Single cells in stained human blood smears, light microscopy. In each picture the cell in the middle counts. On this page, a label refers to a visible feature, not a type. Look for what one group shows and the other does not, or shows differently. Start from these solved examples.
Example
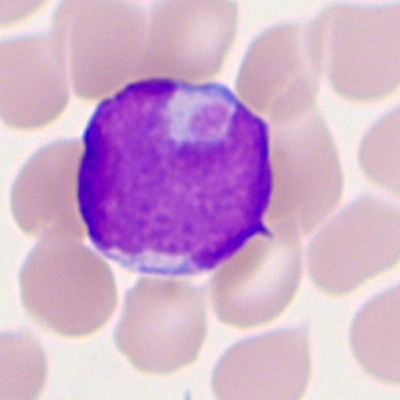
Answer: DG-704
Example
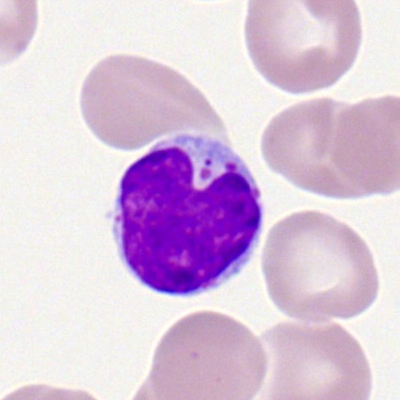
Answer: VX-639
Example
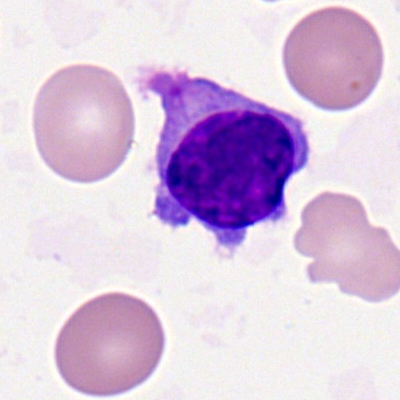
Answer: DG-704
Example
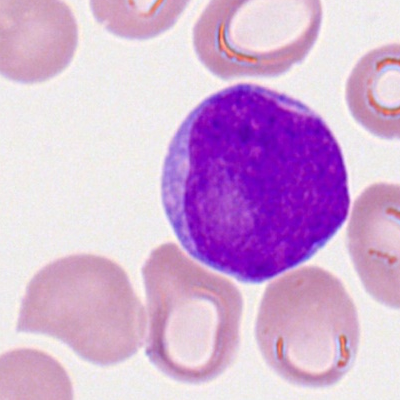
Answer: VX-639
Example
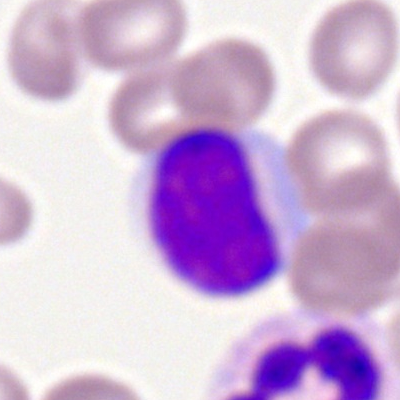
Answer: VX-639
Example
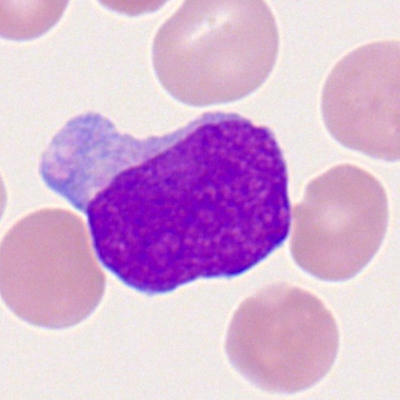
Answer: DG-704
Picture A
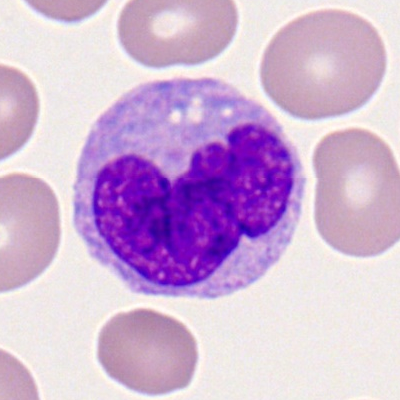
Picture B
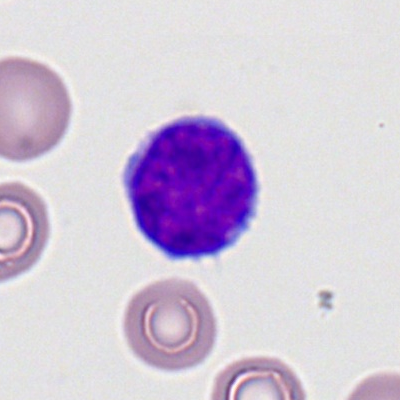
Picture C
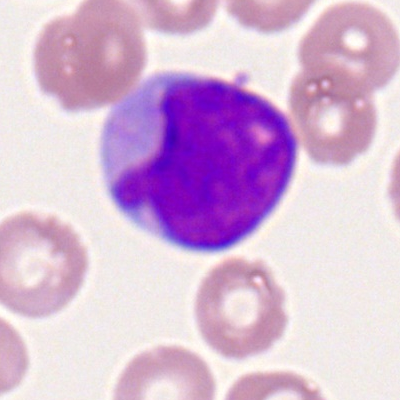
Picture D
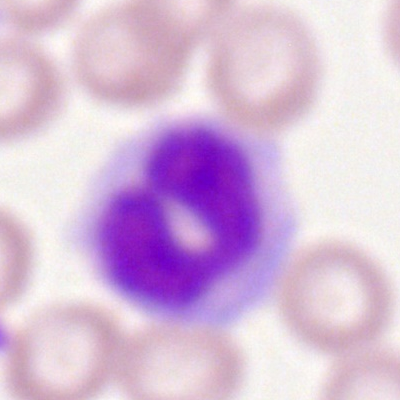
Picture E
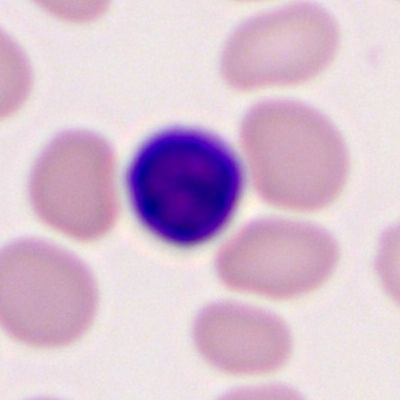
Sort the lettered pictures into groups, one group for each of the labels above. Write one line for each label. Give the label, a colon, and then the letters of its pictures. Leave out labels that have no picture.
DG-704: B, C
VX-639: A, D, E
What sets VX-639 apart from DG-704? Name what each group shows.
In VX-639: smooth outline. In DG-704: ragged outline or projections.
